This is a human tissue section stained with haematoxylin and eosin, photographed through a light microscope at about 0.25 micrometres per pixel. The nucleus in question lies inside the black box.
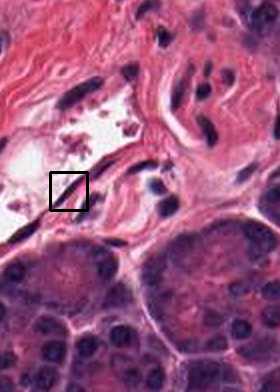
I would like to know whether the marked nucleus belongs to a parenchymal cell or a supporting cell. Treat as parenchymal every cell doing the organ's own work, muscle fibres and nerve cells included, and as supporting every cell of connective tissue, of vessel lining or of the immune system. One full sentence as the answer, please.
The marked nucleus in this section is part of a supporting cell.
